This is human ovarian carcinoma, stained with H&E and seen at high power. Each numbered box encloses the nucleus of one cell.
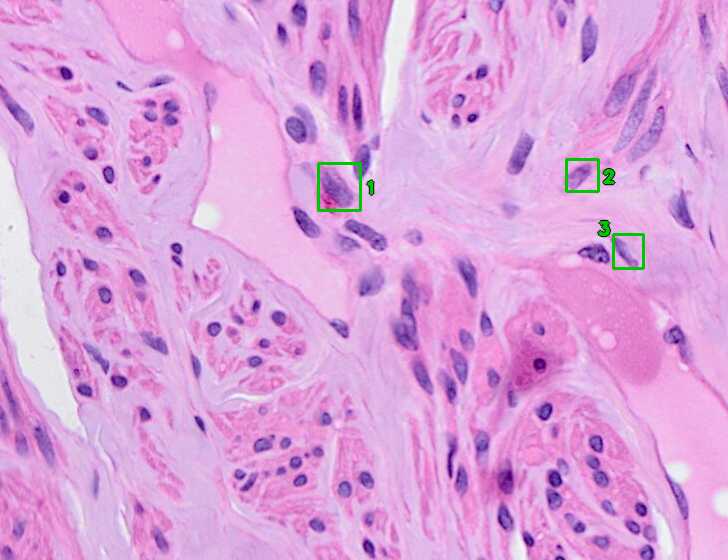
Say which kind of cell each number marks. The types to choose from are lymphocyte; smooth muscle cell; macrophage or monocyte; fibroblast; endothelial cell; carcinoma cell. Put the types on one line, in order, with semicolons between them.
endothelial cell; smooth muscle cell; fibroblast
